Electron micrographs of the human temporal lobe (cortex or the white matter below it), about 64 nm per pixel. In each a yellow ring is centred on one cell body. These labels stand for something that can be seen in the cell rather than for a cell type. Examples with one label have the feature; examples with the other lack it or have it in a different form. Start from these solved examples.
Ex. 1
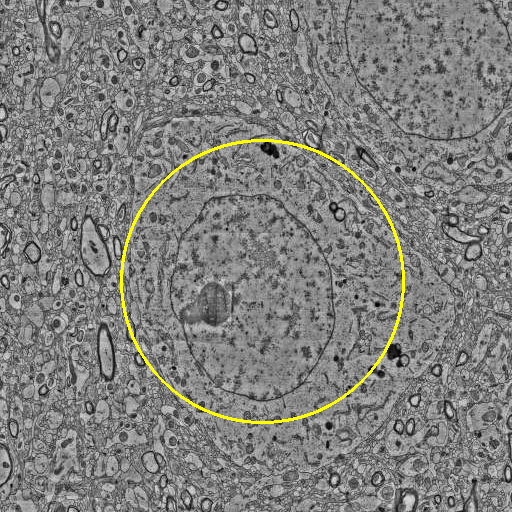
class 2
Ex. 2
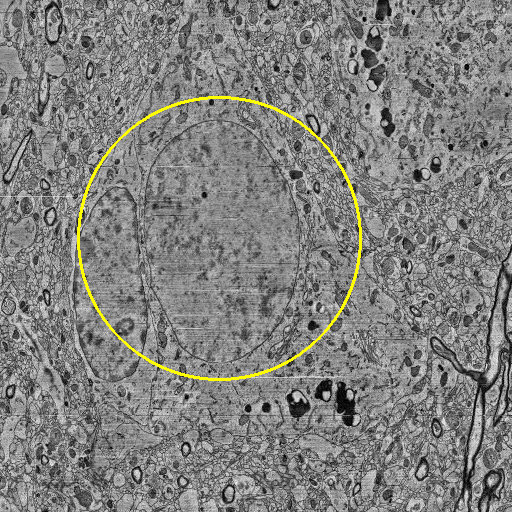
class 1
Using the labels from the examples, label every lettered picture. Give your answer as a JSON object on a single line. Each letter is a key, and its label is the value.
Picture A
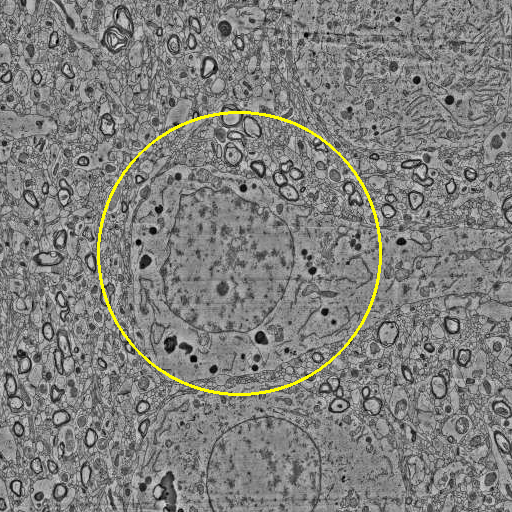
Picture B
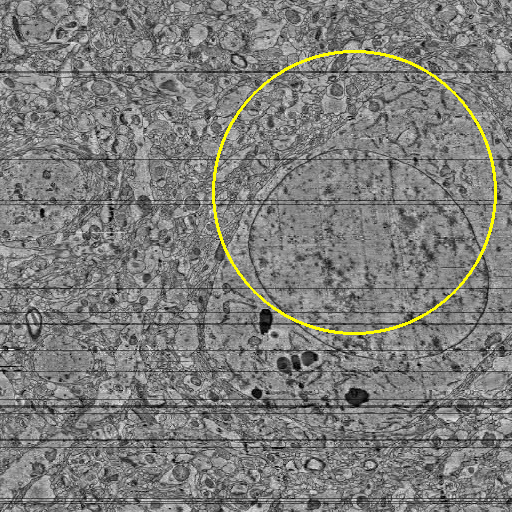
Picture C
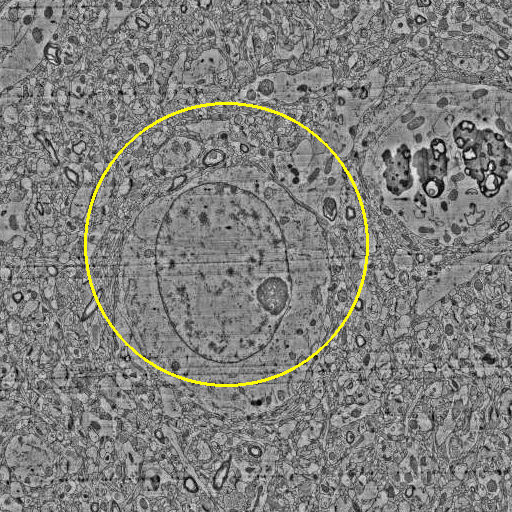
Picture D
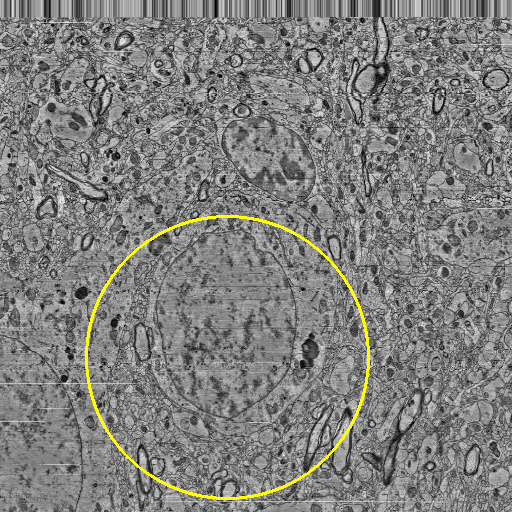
{"A": "class 2", "B": "class 1", "C": "class 2", "D": "class 1"}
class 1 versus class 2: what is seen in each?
In class 1: no nucleolus seen. In class 2: nucleolus seen.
